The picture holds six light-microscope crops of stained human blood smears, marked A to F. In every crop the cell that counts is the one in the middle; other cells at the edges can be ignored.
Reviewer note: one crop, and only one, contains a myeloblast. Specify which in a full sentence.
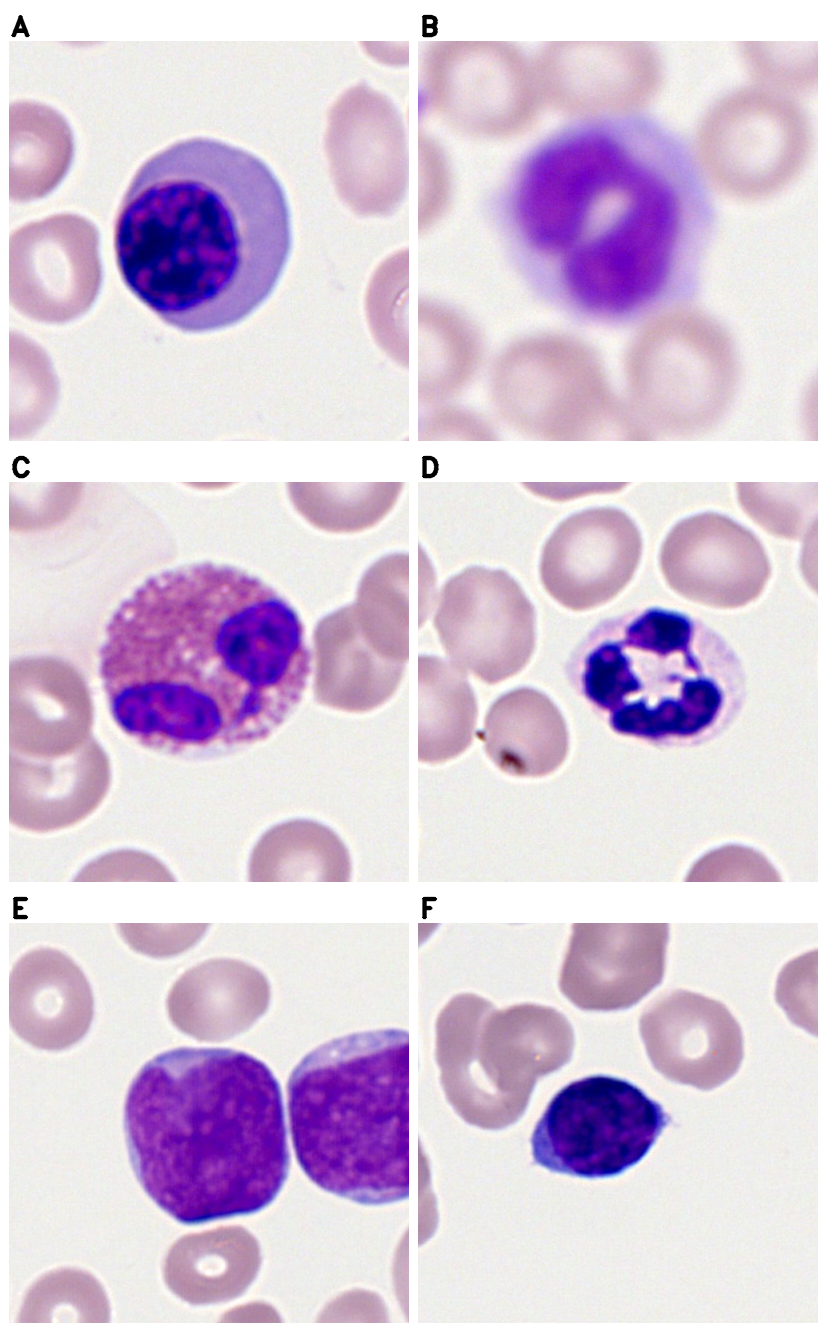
Among the crops provided, a myeloblast occupies the center of crop E.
